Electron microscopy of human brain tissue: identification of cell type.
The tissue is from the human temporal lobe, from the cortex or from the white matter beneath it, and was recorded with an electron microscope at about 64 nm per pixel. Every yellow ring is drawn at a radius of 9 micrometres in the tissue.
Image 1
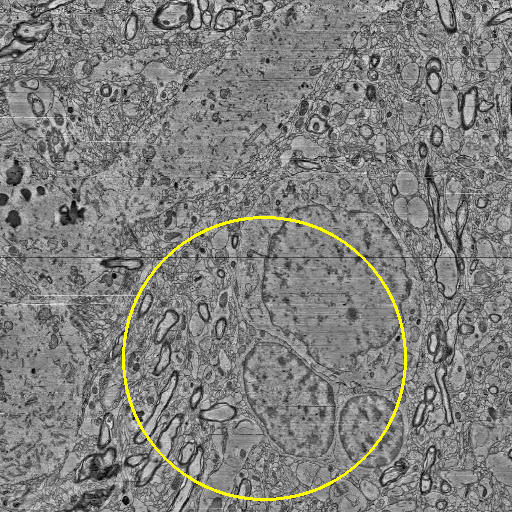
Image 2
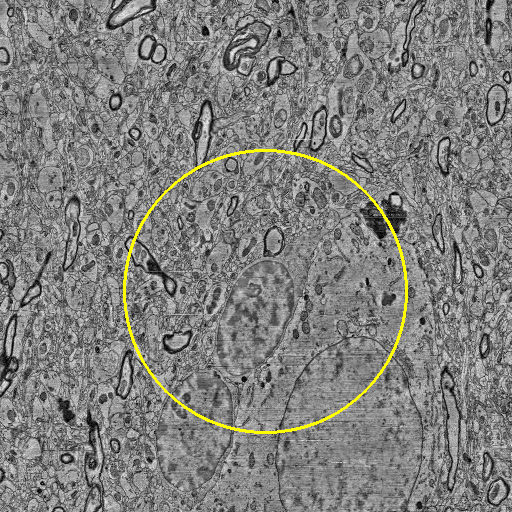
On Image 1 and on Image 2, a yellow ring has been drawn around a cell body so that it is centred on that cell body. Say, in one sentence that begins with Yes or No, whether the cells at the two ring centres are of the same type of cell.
Yes, both cells are the same type of cell.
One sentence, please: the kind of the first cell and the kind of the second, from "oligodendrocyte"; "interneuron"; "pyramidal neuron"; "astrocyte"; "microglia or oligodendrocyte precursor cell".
In the first picture and in the second, the ring is centred on an oligodendrocyte.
